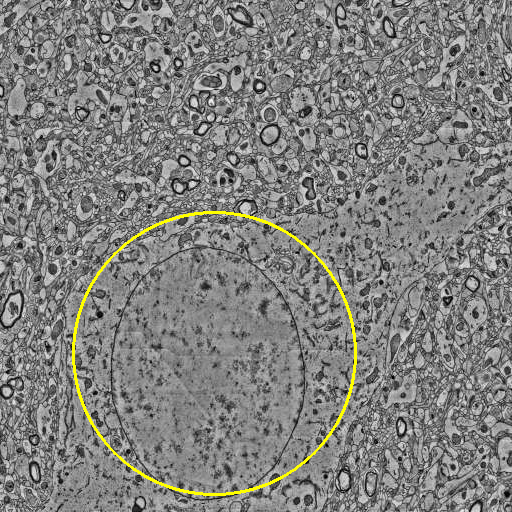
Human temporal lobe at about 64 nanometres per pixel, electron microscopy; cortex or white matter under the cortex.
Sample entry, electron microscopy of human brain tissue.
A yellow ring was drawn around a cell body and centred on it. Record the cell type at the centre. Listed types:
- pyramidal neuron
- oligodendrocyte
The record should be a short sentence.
The cell at the ring's centre is a pyramidal neuron.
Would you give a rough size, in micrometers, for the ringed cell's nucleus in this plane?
In this plane the nucleus measures roughly 16 by 12 micrometres.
